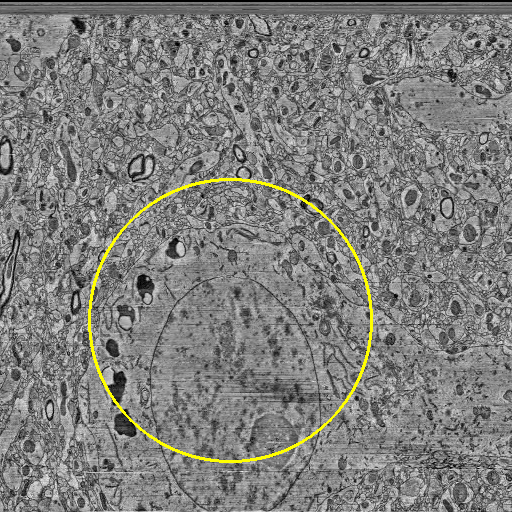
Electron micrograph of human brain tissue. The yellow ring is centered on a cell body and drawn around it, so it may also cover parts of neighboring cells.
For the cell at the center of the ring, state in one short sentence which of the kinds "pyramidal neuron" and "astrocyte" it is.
This ring is centered on a pyramidal neuron.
